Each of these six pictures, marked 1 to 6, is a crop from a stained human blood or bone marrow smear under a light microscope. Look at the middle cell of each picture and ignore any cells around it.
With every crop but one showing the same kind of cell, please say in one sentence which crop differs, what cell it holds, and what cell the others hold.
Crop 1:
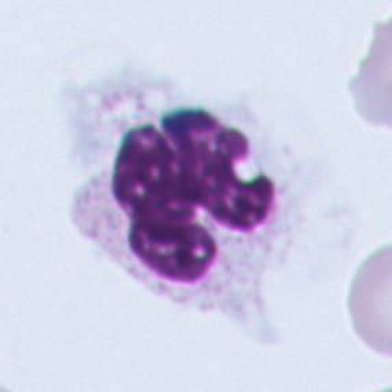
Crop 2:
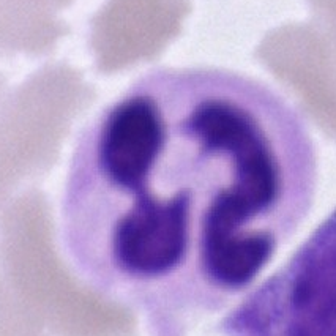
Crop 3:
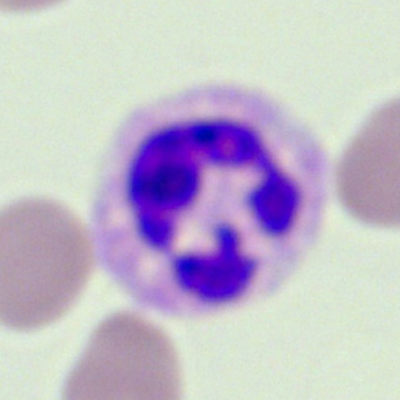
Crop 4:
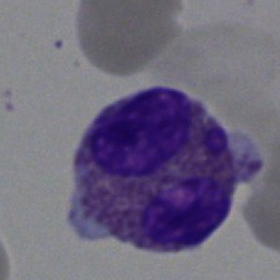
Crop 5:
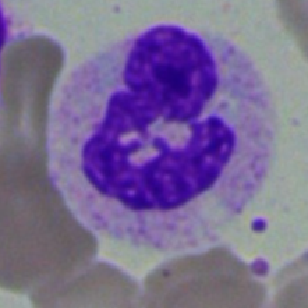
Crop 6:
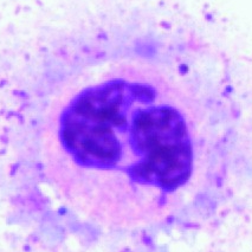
The one crop not showing neutrophils is crop 4, which shows an eosinophil.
